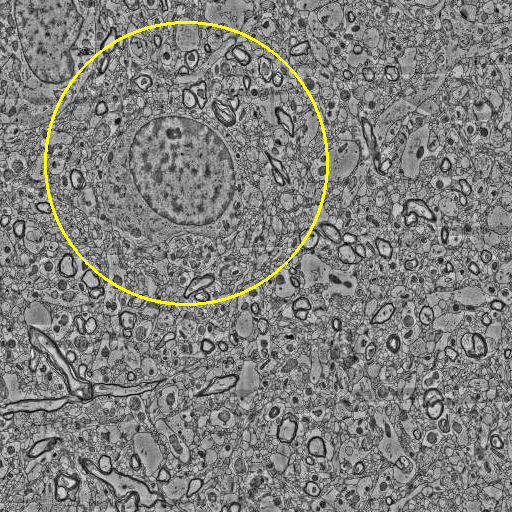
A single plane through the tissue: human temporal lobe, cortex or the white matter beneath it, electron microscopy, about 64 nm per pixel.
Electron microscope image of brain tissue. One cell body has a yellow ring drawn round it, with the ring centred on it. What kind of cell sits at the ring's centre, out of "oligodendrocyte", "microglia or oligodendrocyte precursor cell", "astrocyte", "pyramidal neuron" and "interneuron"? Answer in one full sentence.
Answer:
It is an oligodendrocyte whose cell body sits at the centre of the yellow ring.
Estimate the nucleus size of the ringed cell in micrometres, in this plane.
In this plane, about 8 micrometres in length and 6 in width.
